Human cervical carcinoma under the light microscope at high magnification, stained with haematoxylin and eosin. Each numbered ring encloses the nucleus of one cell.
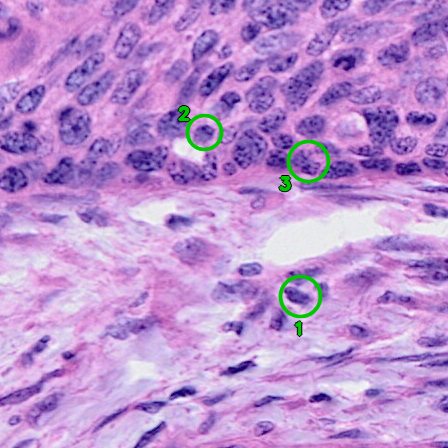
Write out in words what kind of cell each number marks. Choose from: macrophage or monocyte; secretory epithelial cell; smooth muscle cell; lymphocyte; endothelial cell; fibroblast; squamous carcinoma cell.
Cell 1 is a lymphocyte. Cells 2 and 3 are squamous carcinoma cells.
